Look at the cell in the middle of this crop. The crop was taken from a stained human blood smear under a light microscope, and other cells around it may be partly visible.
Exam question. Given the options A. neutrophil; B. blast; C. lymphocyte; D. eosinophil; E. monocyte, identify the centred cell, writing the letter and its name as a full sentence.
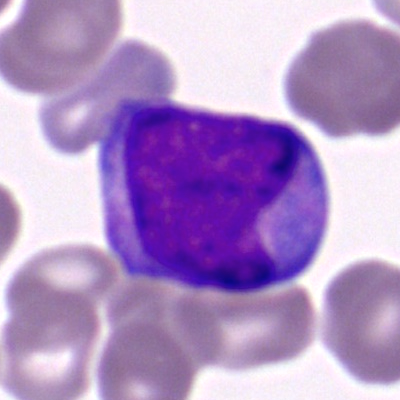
Option B is correct; the cell in the middle is a blast.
